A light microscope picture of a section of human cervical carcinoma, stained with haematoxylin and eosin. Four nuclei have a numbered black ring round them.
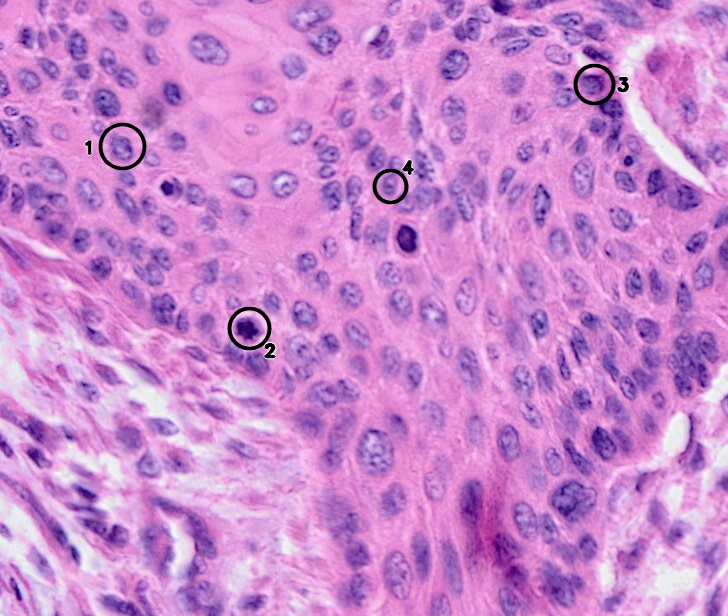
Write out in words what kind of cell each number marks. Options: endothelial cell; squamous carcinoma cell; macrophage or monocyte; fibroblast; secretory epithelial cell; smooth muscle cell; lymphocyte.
Cells 1, 3 and 4 are squamous carcinoma cells. Cell 2 is a lymphocyte.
